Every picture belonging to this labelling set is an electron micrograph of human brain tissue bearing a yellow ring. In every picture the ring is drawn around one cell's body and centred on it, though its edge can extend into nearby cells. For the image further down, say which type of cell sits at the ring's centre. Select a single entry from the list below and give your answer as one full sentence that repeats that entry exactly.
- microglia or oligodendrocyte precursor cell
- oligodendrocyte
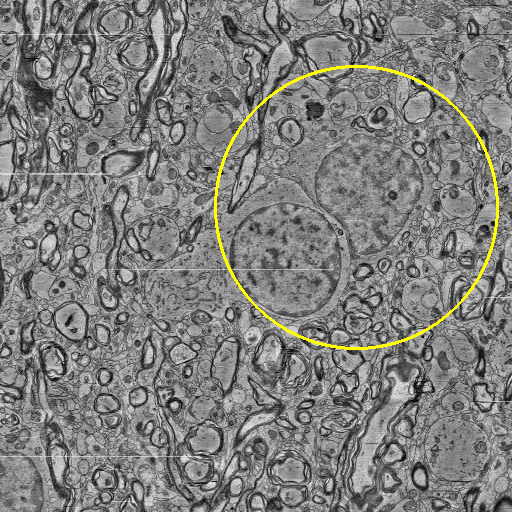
In the picture, an oligodendrocyte is the cell at the centre of the yellow ring.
